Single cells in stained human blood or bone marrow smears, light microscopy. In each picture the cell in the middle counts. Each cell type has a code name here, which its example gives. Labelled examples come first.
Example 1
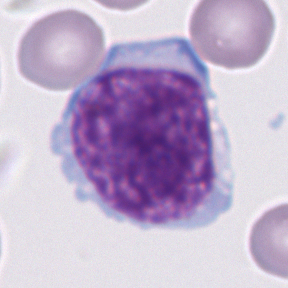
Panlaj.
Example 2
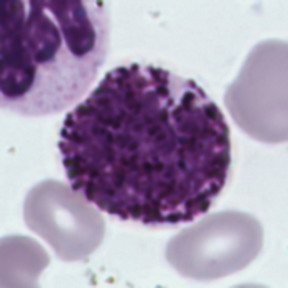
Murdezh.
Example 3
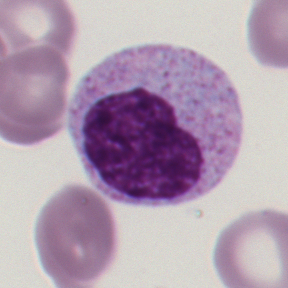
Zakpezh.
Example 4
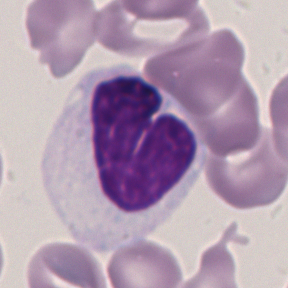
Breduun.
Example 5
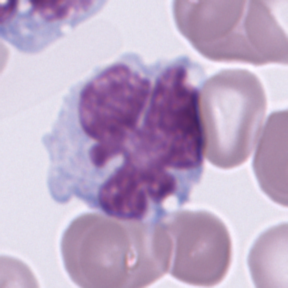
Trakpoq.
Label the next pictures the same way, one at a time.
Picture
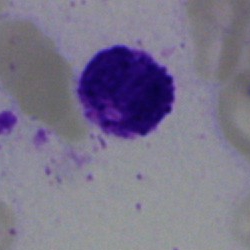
Murdezh.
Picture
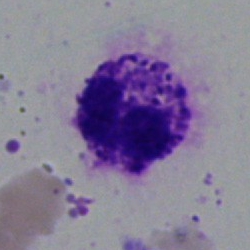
Murdezh.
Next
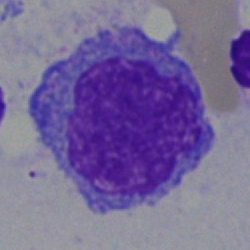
Trakpoq.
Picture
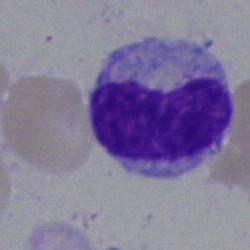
Zakpezh.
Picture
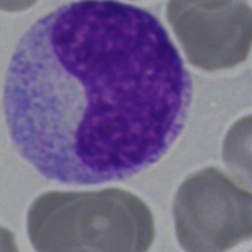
Zakpezh.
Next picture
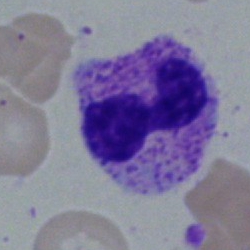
Breduun.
